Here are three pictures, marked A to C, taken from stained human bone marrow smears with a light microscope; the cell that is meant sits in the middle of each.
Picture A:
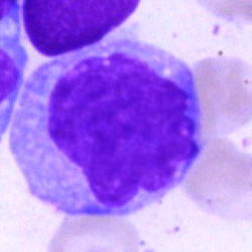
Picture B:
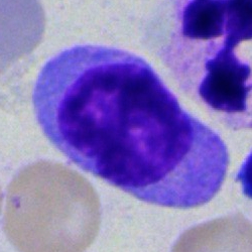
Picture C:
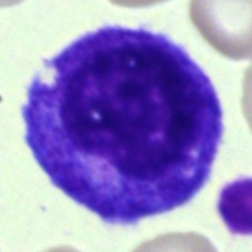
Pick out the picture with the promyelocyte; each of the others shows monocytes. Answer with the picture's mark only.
C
